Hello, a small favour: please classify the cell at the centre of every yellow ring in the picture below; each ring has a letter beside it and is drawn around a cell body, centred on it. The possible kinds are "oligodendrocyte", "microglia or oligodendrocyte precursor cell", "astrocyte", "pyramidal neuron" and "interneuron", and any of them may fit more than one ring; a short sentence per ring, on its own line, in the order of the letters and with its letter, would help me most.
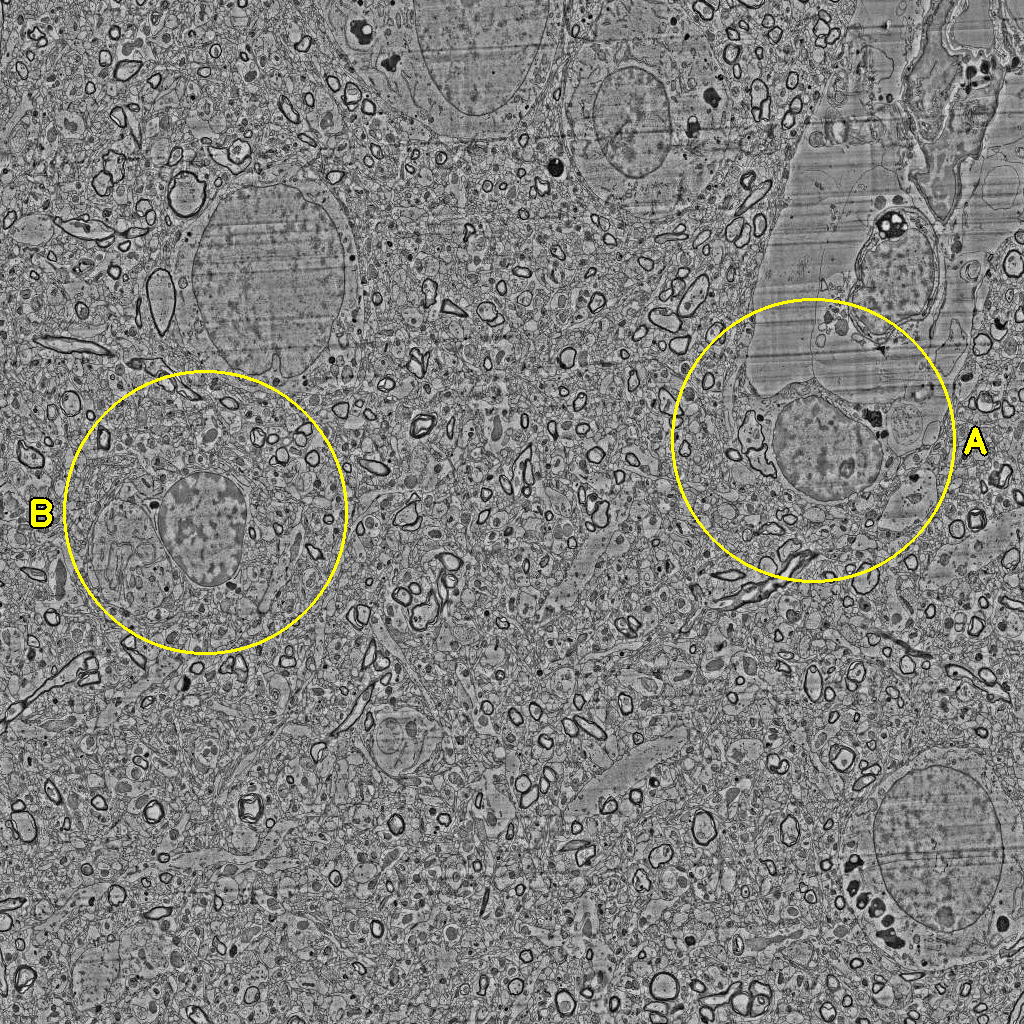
The centre of ring A falls on an oligodendrocyte.
The centre of ring B falls on a microglial cell or oligodendrocyte precursor cell.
